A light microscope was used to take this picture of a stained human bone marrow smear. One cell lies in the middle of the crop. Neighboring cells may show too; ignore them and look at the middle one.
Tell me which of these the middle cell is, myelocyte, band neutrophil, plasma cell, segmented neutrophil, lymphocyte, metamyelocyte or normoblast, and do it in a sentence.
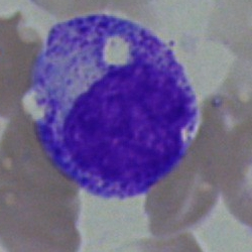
Among the cells in view, the one in the middle is a myelocyte.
